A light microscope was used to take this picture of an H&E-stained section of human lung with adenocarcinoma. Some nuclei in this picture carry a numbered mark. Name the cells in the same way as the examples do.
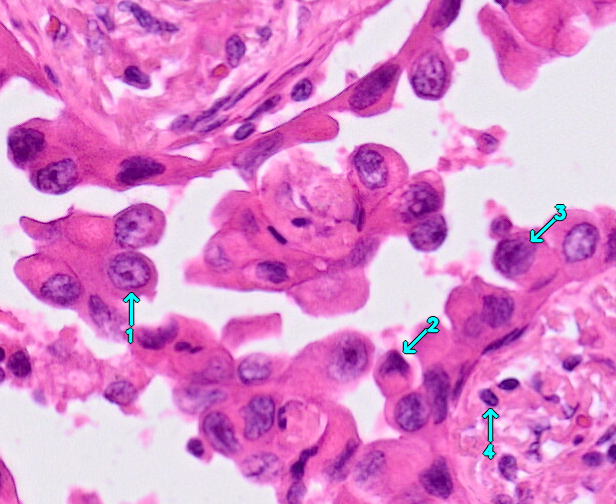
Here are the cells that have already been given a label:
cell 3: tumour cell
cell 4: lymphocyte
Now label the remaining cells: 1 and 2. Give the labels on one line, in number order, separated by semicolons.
tumour cell; tumour cell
